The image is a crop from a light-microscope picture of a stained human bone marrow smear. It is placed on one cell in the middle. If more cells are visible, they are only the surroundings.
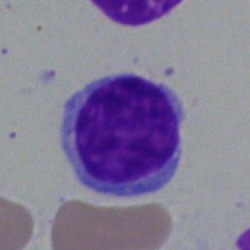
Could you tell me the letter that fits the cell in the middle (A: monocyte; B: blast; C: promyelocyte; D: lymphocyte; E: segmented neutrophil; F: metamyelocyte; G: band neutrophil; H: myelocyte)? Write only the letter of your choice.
D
